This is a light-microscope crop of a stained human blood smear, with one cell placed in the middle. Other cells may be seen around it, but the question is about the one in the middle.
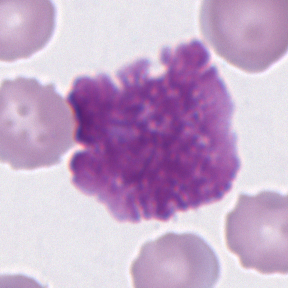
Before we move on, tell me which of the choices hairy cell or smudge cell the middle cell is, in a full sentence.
Of the cells in this crop, the central one is a smudge cell.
